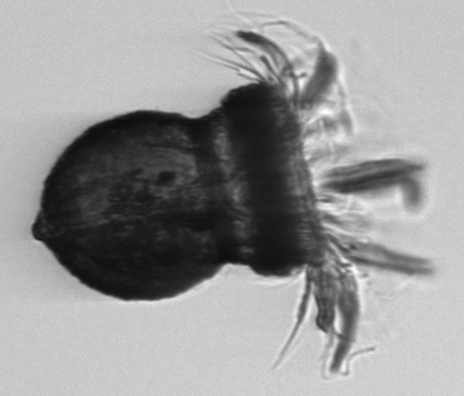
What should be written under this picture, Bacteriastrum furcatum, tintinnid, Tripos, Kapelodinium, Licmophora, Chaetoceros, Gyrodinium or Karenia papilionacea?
tintinnid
